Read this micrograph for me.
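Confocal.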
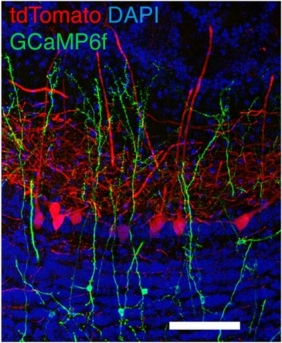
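This section shows granule cells with rising dendrites beside a row of mitral cells. Small green granule cell bodies lie among tightly packed blue nuclei in the lower part of the field. Each sends a thin dendrite upward past the large red mitral cell bodies. The green dendrites branch in the fiber-rich layer above. Some branch just above the mitral cells, others higher up, among tangled red fibers and thick vertical red dendrites. Bead-like swellings dot the green branches.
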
